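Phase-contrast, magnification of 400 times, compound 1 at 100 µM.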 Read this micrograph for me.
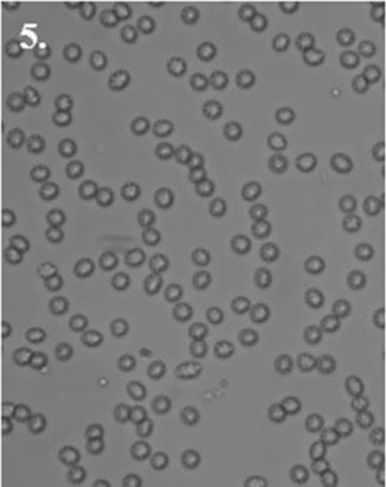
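Erythrocytes in suspension, densely spread across the field, anucleate and of similar size. Many keep a round outline with a dark rim and paler centre, but a share of the cells appear oval or elongated, and some have uneven, irregular borders. The cells lie mostly singly or touching in loose groups.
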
